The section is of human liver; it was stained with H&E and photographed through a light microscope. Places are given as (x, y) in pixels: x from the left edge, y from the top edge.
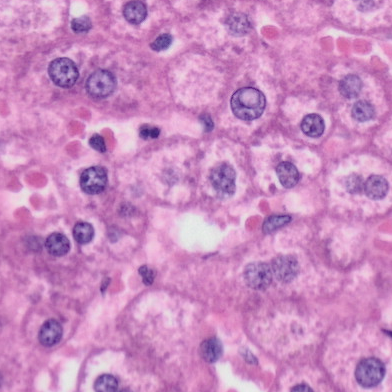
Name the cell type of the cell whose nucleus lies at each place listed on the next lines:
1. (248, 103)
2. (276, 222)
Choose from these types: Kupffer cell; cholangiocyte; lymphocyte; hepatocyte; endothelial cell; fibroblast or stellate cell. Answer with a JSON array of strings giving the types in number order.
["hepatocyte", "Kupffer cell"]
